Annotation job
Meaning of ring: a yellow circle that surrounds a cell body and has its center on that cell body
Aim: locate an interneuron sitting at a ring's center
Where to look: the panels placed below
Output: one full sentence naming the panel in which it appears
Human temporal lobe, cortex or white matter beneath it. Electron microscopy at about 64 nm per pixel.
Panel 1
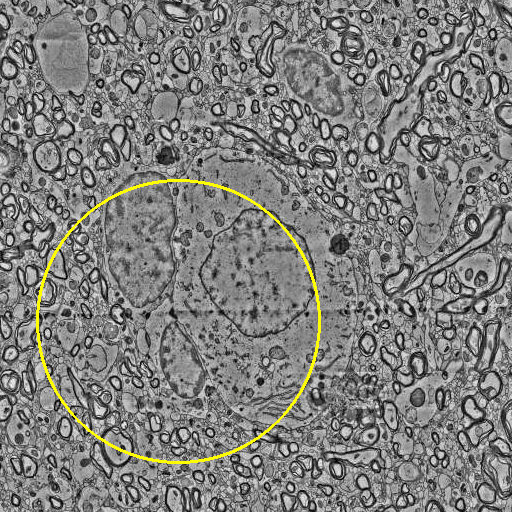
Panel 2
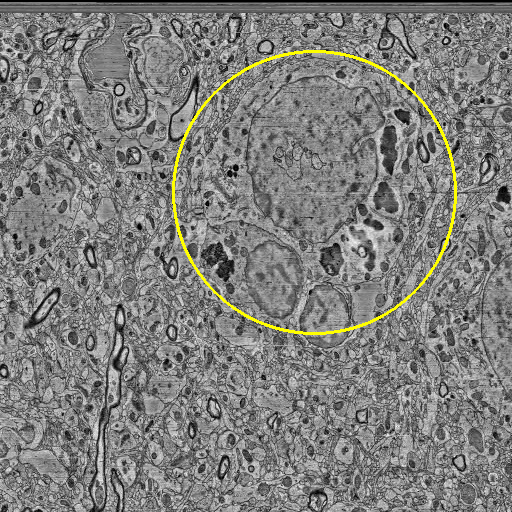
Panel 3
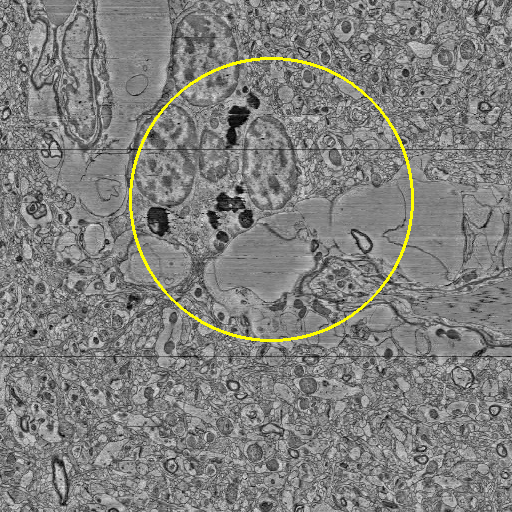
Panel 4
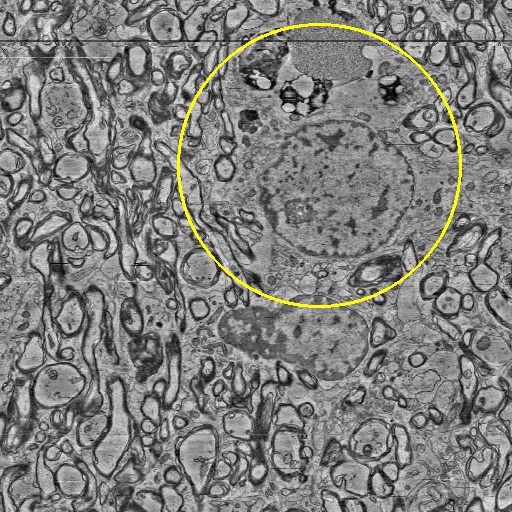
The cell at the center of the ring in panel 2 is the one sought.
